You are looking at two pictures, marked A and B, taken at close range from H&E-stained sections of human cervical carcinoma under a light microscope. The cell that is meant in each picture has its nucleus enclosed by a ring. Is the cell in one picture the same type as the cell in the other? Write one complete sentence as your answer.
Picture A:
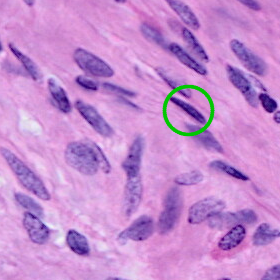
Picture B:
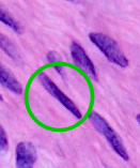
Yes, both are fibroblasts.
